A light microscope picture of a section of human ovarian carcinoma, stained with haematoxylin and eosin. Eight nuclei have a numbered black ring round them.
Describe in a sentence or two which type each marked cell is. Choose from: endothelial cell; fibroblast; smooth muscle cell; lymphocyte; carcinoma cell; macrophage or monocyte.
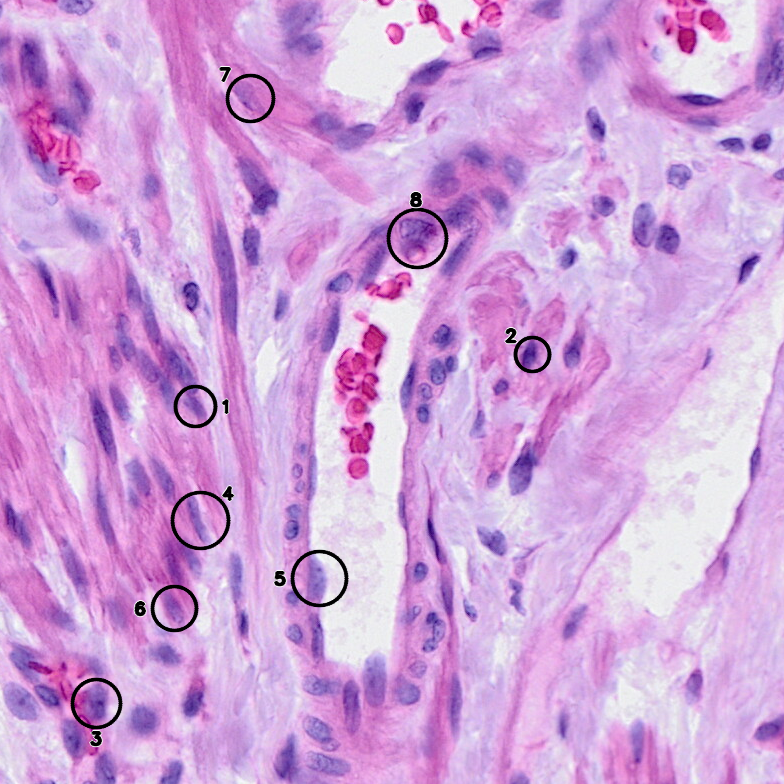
Cells 1, 2, 4, 6 and 7 are smooth muscle cells. Cells 3, 5 and 8 are endothelial cells.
